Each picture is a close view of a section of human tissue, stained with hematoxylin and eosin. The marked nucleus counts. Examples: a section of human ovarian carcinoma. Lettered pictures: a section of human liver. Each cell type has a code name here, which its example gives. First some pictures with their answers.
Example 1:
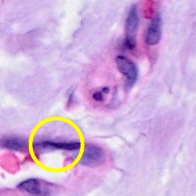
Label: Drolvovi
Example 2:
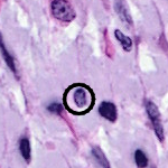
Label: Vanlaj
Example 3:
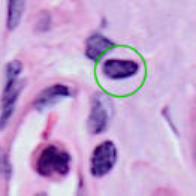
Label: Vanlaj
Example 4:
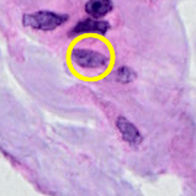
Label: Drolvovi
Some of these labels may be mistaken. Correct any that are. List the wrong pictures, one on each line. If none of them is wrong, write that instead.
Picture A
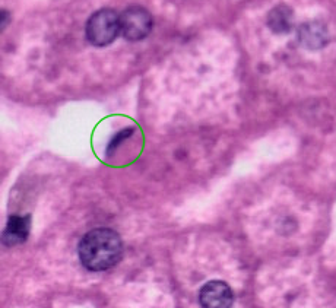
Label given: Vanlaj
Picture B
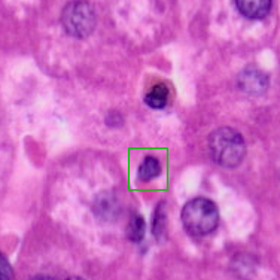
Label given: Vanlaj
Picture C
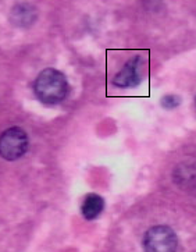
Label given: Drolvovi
Wrong: A (Vanlaj); correct: Drolvovi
